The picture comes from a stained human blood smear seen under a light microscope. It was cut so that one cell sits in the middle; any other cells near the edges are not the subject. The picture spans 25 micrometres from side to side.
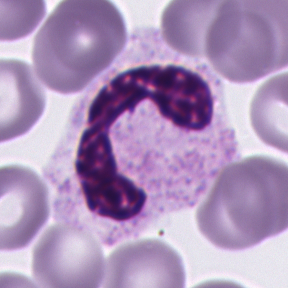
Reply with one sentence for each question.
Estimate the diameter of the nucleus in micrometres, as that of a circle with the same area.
It measures about 9 micrometres across.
